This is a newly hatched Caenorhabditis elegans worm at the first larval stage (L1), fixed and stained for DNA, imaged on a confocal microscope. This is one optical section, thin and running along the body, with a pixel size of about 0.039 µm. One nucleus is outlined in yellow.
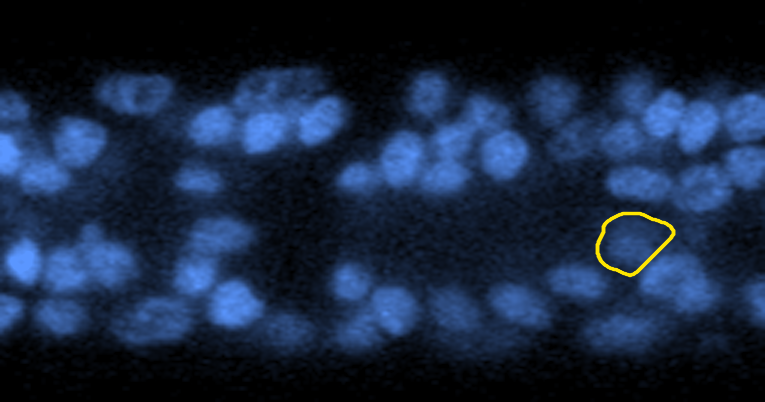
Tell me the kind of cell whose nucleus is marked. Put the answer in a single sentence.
The marked cell is a pharyngeal marginal cell.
